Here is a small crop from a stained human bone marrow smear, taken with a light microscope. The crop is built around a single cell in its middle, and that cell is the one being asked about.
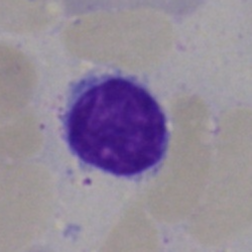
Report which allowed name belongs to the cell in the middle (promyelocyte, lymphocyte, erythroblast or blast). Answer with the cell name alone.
lymphocyte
